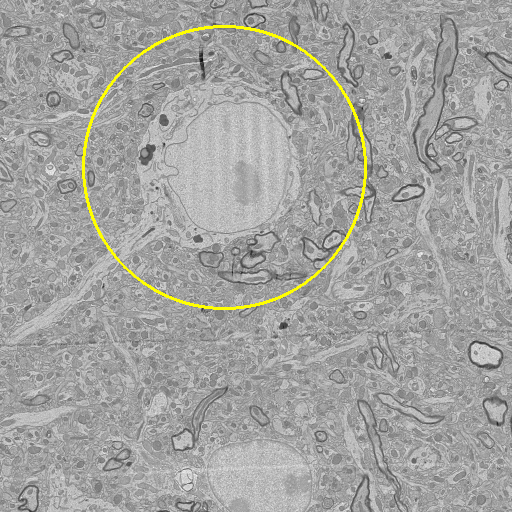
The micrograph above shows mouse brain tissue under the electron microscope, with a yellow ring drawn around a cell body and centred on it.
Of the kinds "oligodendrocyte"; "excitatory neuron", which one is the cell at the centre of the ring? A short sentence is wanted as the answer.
The one at the centre of the ring is an excitatory neuron.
